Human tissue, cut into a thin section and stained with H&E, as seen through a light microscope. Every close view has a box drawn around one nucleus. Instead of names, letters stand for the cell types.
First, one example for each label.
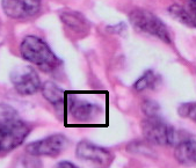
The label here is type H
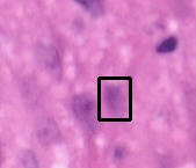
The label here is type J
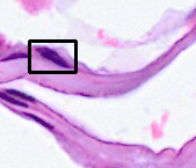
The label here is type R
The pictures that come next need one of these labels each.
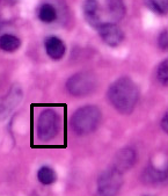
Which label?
type J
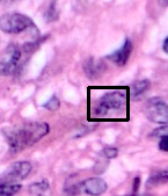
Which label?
type H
